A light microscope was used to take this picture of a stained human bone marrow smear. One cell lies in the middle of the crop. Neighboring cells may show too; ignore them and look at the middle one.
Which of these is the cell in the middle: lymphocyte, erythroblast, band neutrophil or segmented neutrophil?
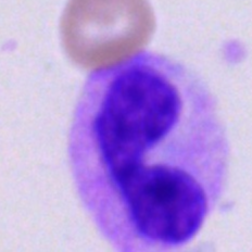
band neutrophil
